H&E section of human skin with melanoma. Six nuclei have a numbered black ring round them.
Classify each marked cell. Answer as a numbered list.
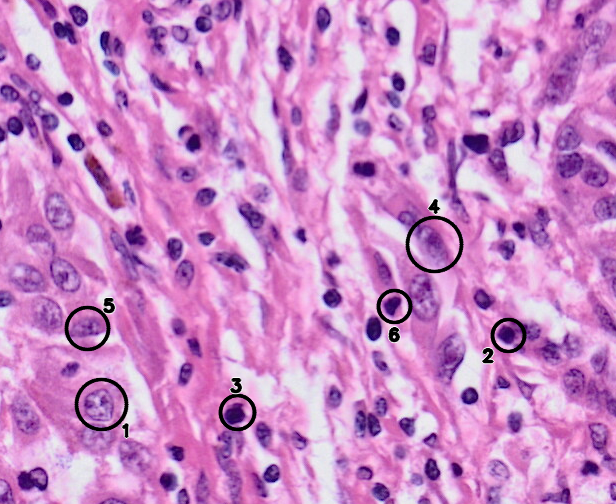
1. melanoma cell
2. lymphocyte
3. lymphocyte
4. melanoma cell
5. melanoma cell
6. lymphocyte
